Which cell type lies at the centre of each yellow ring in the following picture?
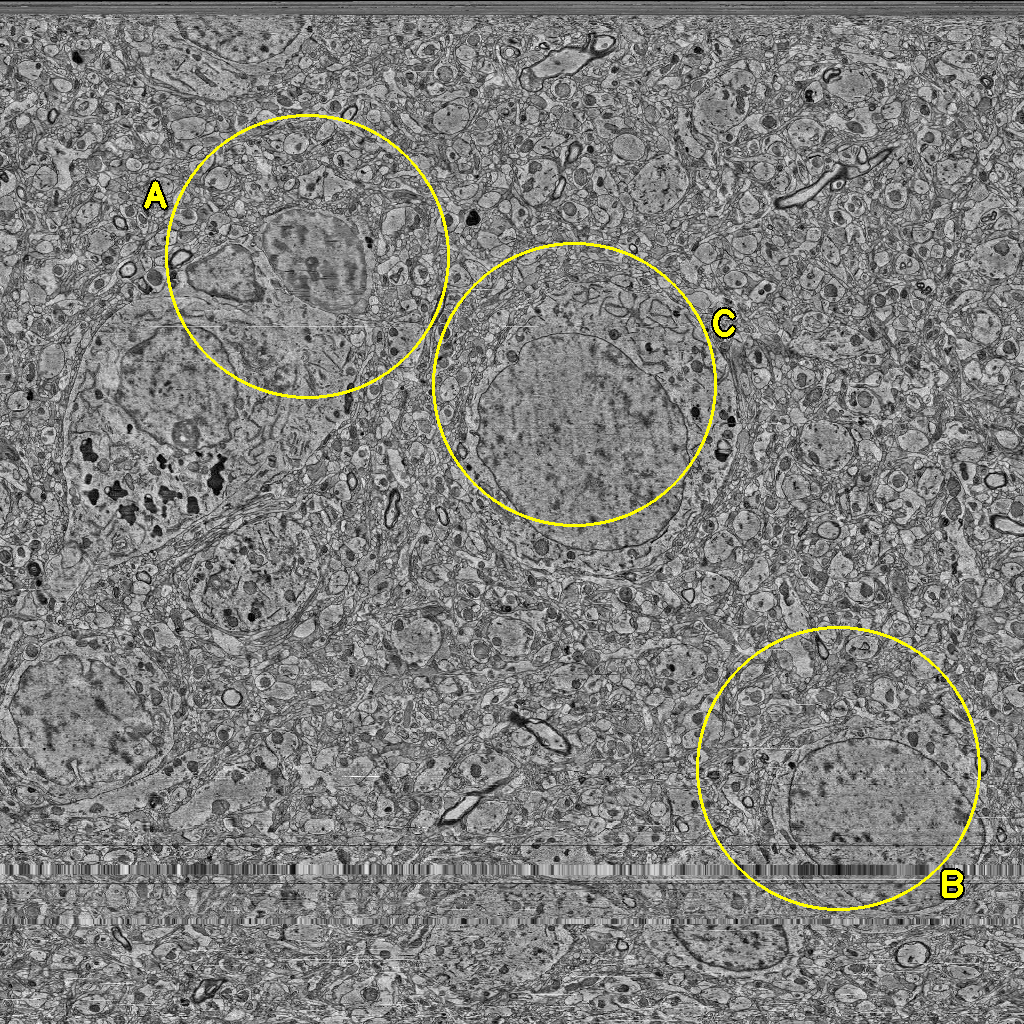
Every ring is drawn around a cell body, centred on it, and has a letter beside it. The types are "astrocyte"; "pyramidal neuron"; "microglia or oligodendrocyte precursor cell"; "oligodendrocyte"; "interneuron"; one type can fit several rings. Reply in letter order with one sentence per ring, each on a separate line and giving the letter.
Ring A marks the cell body of an oligodendrocyte.
Ring B marks the cell body of a pyramidal neuron.
Ring C marks the cell body of a pyramidal neuron.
